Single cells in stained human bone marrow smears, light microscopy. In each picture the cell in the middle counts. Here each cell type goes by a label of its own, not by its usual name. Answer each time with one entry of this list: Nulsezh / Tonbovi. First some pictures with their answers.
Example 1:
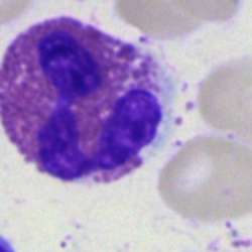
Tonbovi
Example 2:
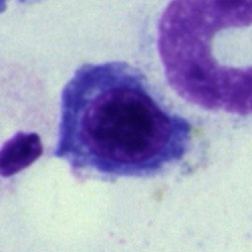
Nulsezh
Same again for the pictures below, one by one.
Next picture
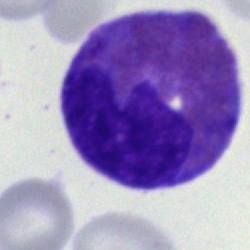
Tonbovi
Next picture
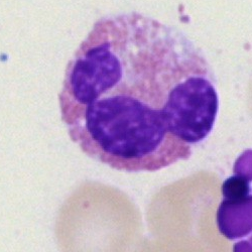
Tonbovi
